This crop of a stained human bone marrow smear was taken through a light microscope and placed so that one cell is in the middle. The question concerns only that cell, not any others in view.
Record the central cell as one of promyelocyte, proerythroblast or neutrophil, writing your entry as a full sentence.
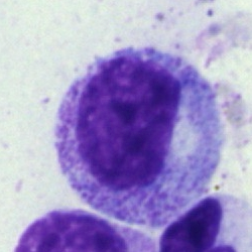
As for the central cell, it is a promyelocyte.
